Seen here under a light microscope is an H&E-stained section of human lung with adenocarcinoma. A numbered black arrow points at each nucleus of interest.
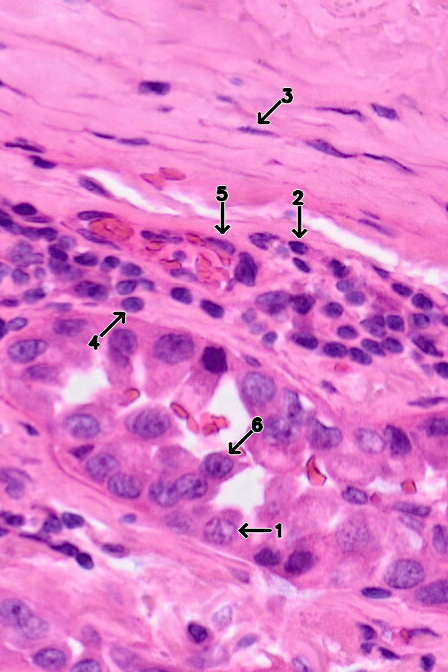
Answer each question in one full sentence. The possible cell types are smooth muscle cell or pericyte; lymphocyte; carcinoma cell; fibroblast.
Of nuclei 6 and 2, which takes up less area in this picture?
Number 2 is smaller, since number 6 takes up about 3 times as much area.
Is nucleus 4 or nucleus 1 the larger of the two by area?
Nucleus 1 is the larger one, covering about 3 times the area of nucleus 4.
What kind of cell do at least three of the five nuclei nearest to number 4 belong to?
Of the five nuclei nearest to number 4, most belong to lymphocytes.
